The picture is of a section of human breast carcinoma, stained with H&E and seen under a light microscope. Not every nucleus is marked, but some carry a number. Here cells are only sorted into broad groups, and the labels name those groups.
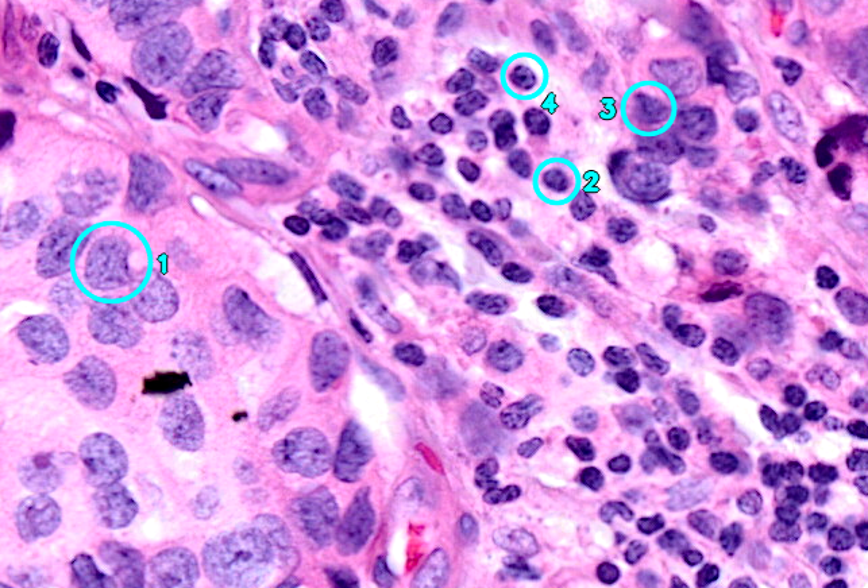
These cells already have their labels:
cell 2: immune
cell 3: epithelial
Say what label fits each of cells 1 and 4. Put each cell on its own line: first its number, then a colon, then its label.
1: epithelial
4: immune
